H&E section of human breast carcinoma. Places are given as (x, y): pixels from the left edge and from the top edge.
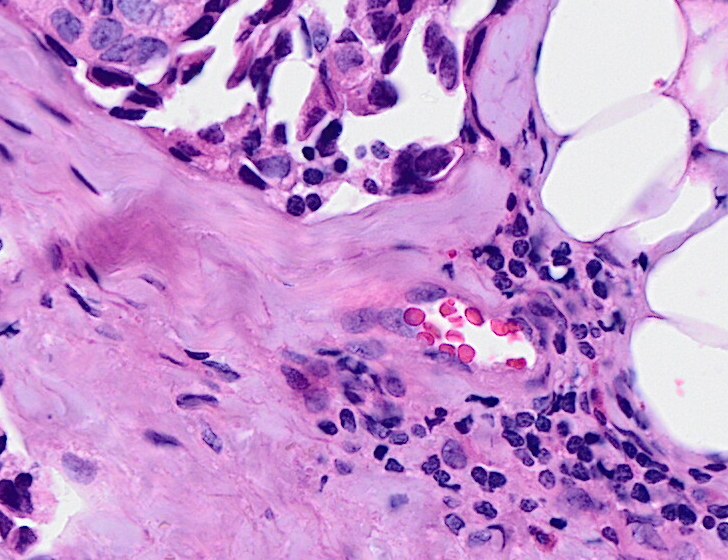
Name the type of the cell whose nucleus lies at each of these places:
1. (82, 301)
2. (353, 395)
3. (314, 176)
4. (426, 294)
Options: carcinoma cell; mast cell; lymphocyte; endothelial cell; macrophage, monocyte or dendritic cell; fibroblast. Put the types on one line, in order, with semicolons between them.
fibroblast; lymphocyte; lymphocyte; endothelial cell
